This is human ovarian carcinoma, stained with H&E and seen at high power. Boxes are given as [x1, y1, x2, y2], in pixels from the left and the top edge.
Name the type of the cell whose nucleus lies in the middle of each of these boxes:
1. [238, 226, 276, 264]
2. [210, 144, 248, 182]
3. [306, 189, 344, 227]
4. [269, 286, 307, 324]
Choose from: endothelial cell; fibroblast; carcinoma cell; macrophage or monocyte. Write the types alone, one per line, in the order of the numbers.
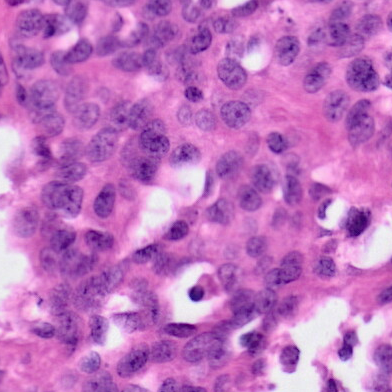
carcinoma cell
carcinoma cell
macrophage or monocyte
carcinoma cell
